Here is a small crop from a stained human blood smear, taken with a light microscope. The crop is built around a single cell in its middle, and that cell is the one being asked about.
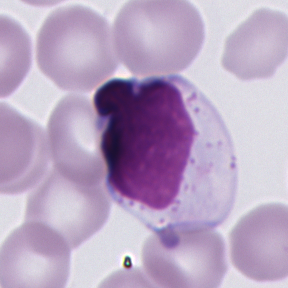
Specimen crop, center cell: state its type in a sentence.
The central cell shown in this smear crop is a large granular lymphocyte.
